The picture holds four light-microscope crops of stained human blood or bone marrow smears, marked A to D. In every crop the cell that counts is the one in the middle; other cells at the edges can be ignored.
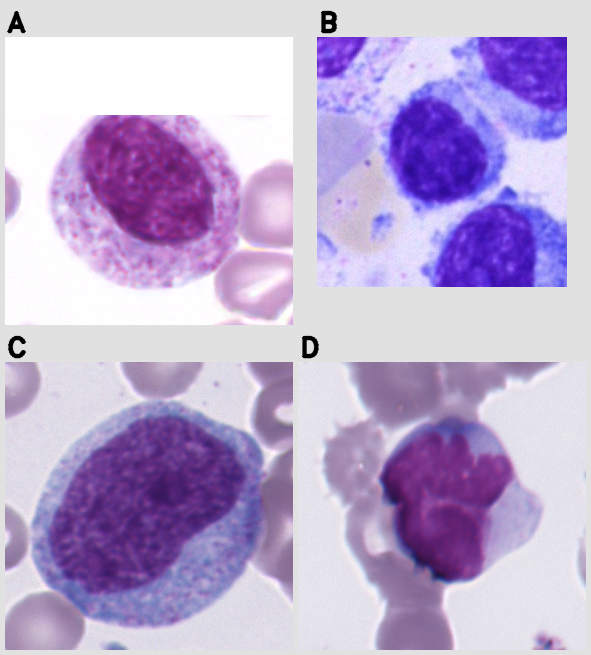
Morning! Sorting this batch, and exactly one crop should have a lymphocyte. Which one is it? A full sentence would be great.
Crop B, of the crops presented, is the one showing a lymphocyte.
